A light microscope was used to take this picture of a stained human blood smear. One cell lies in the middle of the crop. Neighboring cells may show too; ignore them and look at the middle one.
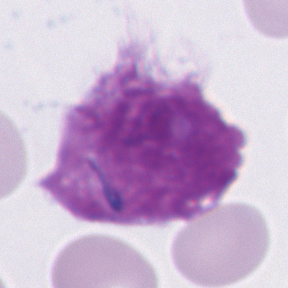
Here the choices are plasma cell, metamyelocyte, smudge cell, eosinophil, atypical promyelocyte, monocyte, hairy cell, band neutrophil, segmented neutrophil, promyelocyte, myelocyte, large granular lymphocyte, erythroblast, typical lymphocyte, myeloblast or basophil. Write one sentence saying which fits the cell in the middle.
As for the central cell, it is a smudge cell.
